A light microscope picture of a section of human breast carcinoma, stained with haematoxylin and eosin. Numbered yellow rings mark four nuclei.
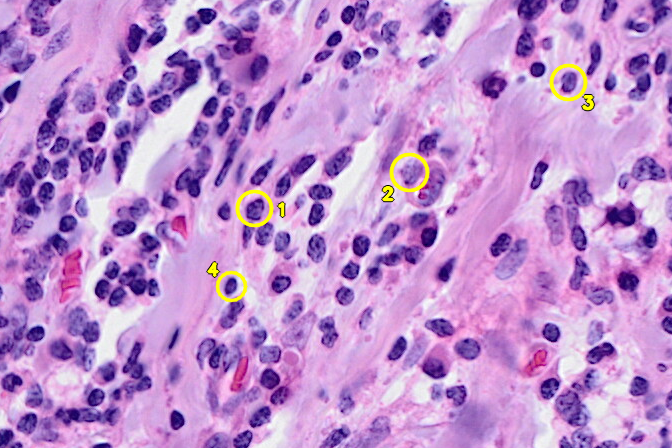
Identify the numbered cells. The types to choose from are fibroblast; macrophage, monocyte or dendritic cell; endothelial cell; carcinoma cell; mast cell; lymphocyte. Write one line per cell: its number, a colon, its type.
1: lymphocyte
2: endothelial cell
3: lymphocyte
4: lymphocyte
